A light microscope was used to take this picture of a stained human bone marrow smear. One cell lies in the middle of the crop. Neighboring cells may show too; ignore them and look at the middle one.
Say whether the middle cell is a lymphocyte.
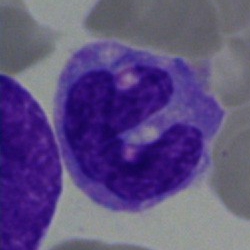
no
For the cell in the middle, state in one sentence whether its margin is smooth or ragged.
Its outline is ragged or drawn out into projections, not smooth.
